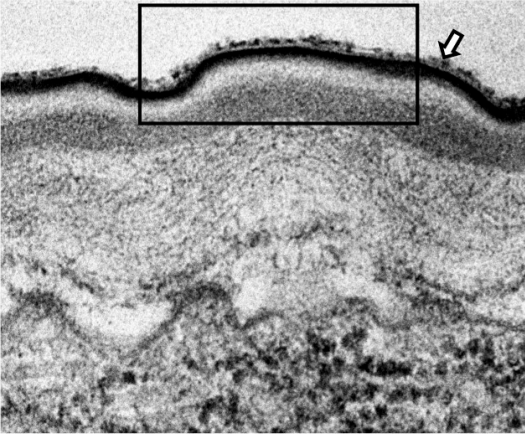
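The same layered coat covers an epidermal cell: a thin dark outer band, a grey band beneath it, and a broad pale fibrous zone above a folded plasma membrane with granular cytoplasm below. Unlike a smooth coat, the top of the dark outer band is studded with small dark granules and ragged bits, most visible where an open arrow points and within the boxed stretch.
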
